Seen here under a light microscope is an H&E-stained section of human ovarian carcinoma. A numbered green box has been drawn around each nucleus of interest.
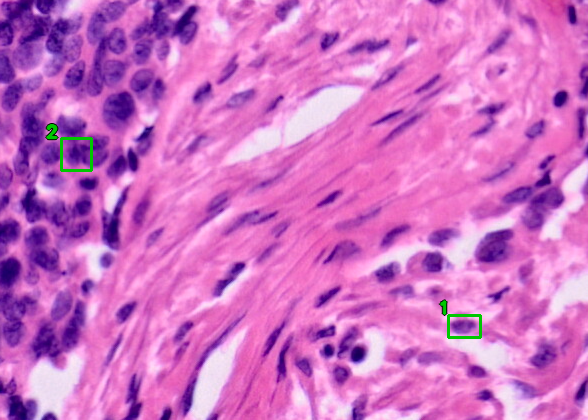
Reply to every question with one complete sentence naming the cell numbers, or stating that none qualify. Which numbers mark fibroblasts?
Only the cell numbered 1 qualifies as a fibroblast among the marked cells.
